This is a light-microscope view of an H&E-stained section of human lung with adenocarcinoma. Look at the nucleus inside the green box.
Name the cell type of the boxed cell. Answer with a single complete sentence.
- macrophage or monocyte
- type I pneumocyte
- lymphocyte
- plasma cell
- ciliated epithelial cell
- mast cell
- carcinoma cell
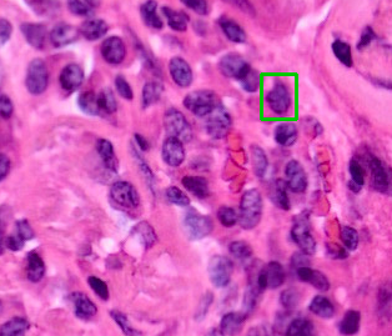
This is a plasma cell.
